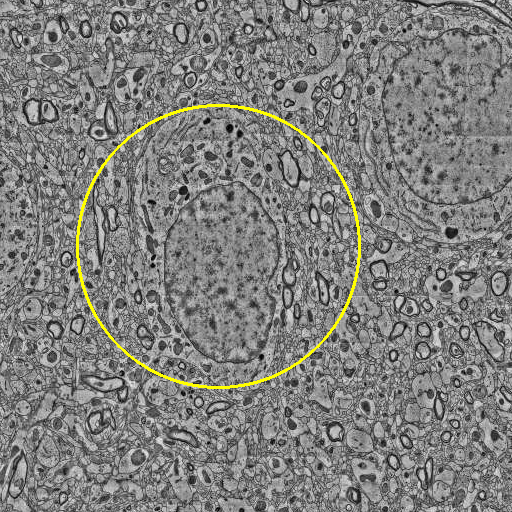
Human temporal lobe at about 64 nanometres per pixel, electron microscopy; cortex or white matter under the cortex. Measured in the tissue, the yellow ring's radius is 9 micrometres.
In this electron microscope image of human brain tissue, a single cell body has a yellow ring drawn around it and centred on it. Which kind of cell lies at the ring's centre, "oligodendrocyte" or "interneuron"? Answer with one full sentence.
It is an interneuron whose cell body lies at the centre of the yellow ring here.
